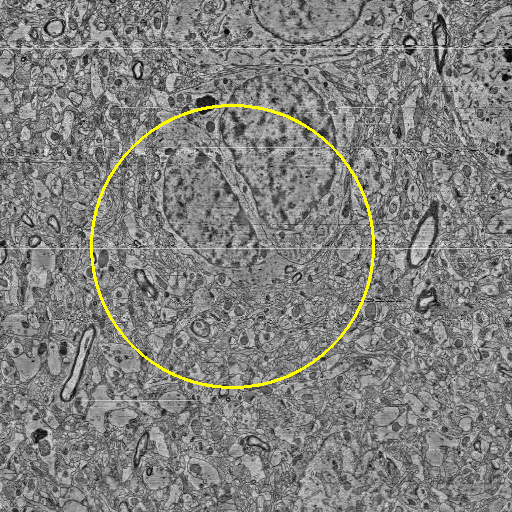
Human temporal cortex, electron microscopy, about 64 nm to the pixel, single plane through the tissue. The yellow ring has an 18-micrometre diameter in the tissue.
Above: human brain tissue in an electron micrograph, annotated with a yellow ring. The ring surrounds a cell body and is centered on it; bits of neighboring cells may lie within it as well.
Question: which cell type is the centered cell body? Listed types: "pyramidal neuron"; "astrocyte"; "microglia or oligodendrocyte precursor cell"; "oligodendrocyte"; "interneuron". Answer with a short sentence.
The centered cell body is a microglial cell or oligodendrocyte precursor cell.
